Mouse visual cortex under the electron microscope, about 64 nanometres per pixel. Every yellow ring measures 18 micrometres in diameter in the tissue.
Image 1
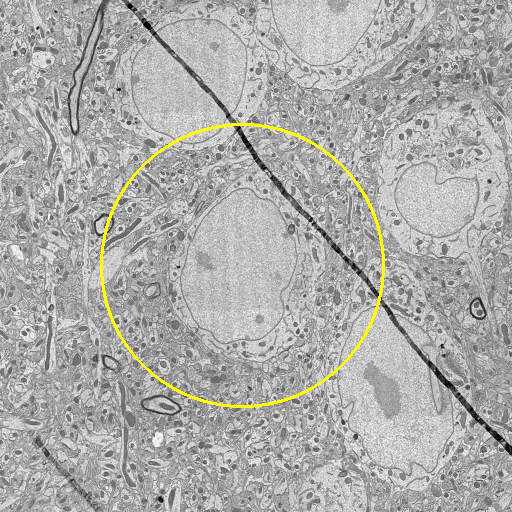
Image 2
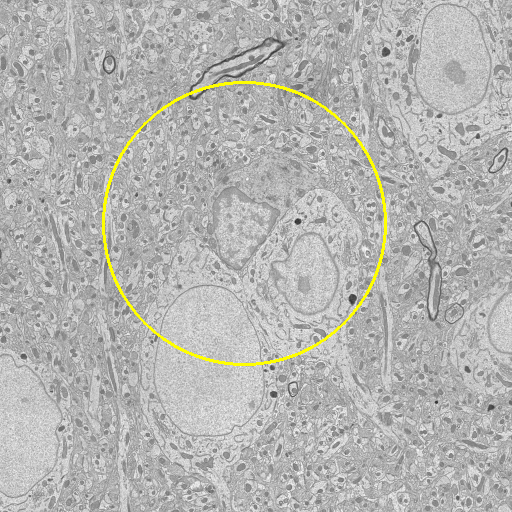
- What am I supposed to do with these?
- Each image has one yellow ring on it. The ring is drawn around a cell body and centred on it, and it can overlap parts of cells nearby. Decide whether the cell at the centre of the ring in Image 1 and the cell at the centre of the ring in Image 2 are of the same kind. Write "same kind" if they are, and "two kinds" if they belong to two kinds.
two kinds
